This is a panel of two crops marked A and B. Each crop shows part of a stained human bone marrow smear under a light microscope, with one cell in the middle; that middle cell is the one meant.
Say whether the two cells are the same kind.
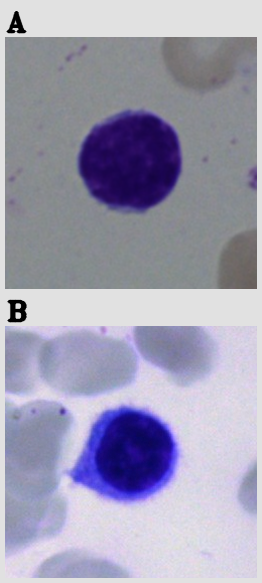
yes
